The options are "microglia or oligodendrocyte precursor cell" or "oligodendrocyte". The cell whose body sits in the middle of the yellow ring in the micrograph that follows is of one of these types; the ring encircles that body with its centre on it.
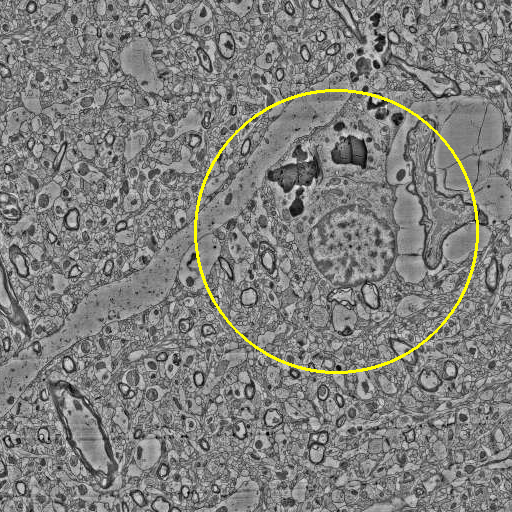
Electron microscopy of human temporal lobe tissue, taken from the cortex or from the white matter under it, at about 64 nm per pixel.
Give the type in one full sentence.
Going by the micrograph, the cell centred in the yellow ring is an oligodendrocyte.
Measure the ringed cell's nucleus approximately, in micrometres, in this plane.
The nucleus of the ringed cell is approximately 5 micrometres across in this plane.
